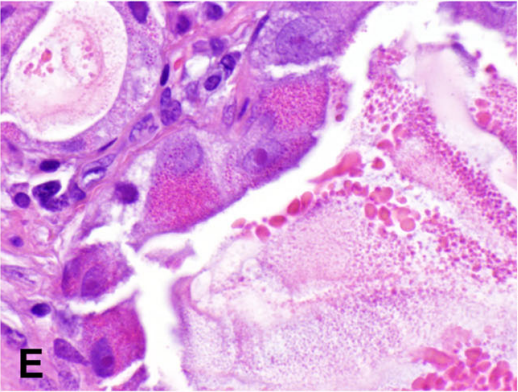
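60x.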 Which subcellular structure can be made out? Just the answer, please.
eosinophilic coarse granules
